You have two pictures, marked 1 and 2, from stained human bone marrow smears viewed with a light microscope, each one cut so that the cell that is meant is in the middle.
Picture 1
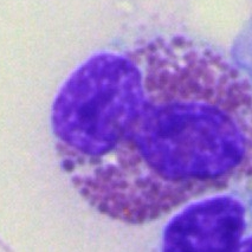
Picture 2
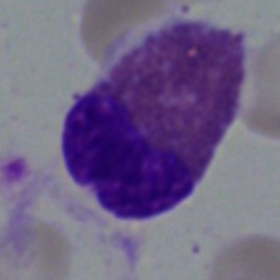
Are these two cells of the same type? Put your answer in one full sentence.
Yes, they are the same type: both are eosinophils.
